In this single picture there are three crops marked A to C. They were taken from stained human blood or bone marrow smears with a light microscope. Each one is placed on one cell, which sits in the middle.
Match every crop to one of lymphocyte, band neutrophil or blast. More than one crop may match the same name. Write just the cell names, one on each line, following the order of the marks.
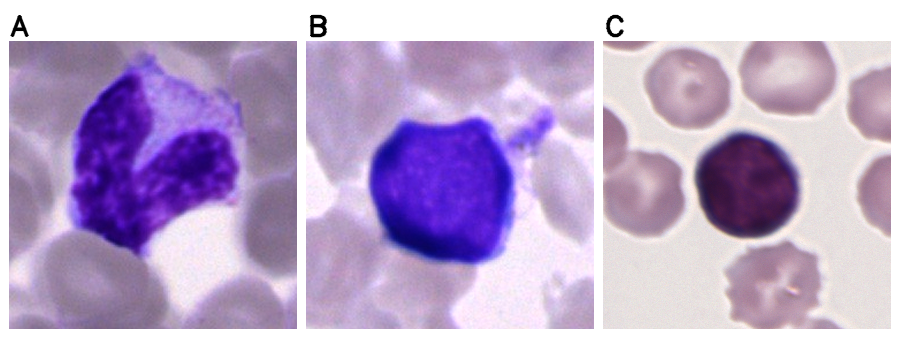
band neutrophil
blast
lymphocyte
